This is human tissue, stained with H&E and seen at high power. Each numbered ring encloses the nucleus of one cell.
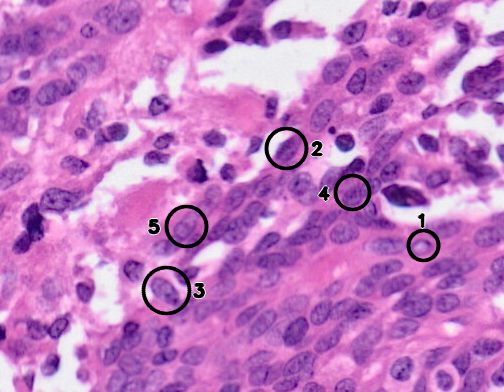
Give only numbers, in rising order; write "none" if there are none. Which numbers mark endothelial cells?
1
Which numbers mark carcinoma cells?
2, 4, 5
